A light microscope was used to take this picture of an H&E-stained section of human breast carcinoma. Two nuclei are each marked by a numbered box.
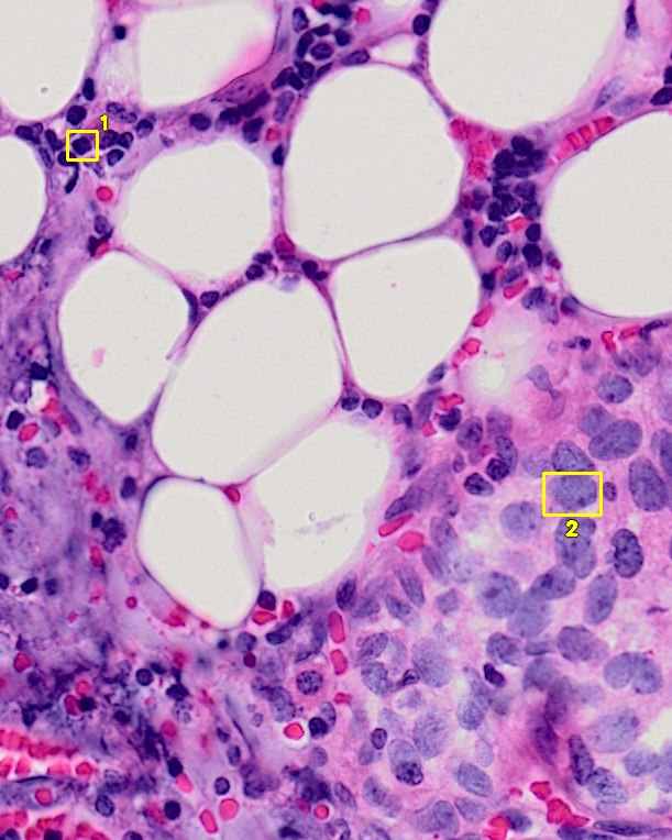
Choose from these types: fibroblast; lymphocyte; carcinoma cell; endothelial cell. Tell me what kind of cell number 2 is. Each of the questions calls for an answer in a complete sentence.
Corresponding to a carcinoma cell is the cell labelled 2.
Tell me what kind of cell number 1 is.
The mark numbered 1 indicates the nucleus of a lymphocyte.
